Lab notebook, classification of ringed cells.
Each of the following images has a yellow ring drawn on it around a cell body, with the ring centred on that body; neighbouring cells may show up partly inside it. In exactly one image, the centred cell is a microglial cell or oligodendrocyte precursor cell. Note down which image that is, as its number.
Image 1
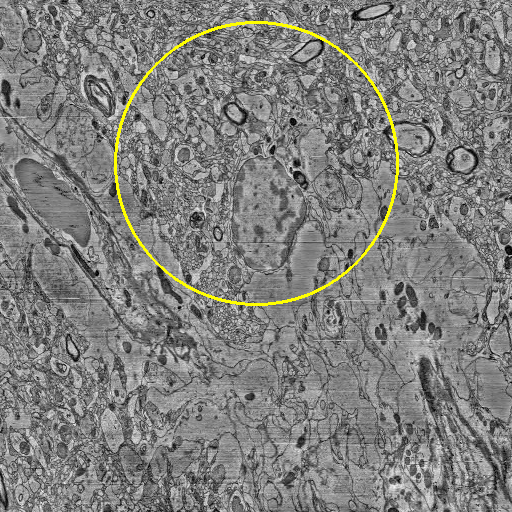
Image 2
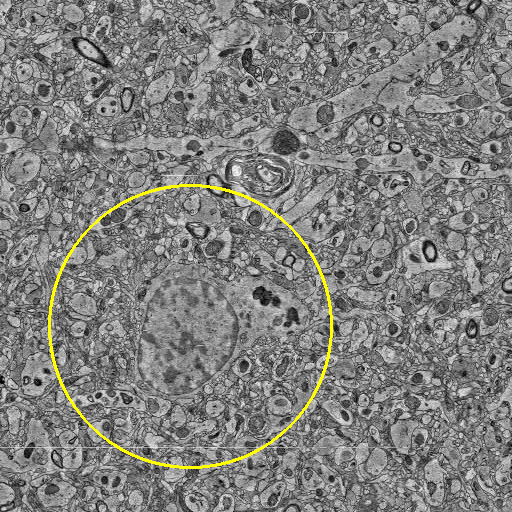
1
